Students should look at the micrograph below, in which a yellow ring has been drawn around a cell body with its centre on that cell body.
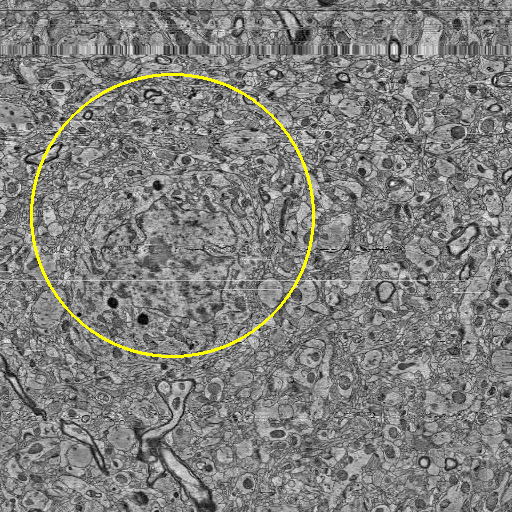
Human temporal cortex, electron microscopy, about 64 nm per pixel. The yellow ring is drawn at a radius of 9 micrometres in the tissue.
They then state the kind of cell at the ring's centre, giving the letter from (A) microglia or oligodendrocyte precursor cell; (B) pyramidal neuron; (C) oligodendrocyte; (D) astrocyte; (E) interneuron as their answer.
E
